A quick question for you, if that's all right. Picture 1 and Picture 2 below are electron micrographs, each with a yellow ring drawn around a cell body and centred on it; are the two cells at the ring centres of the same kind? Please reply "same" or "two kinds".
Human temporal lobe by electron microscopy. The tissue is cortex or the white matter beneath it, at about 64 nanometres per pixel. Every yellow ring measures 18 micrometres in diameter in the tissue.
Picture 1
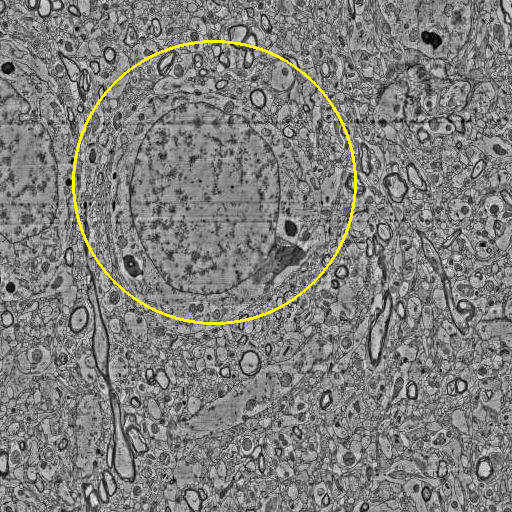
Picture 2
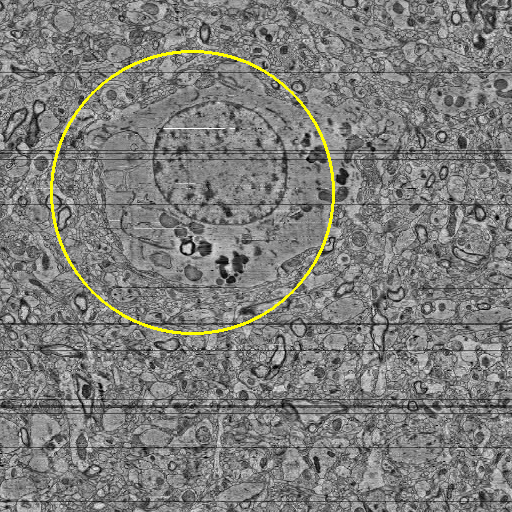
two kinds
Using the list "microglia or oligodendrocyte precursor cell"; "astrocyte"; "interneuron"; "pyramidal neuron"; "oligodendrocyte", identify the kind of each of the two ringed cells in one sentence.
The first is a pyramidal neuron and the second is an astrocyte.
